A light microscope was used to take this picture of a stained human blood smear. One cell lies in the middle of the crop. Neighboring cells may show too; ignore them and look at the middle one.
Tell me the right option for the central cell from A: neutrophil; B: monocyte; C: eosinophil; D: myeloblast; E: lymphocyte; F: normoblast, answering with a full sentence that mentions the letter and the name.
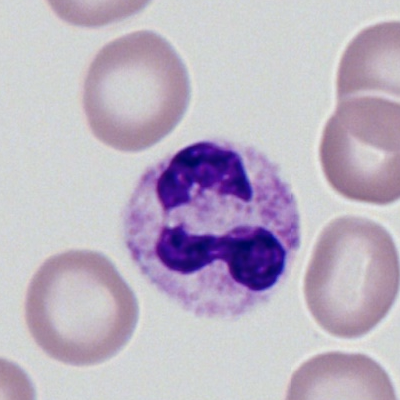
The cell occupying the centre is a neutrophil; option A is thus the correct choice.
